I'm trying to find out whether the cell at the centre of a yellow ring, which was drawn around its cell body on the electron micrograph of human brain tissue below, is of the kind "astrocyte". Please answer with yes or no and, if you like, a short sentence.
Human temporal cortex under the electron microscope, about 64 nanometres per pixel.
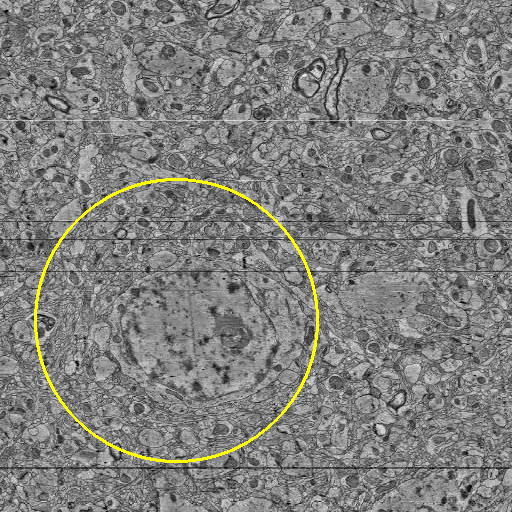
No, that cell is of another kind.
